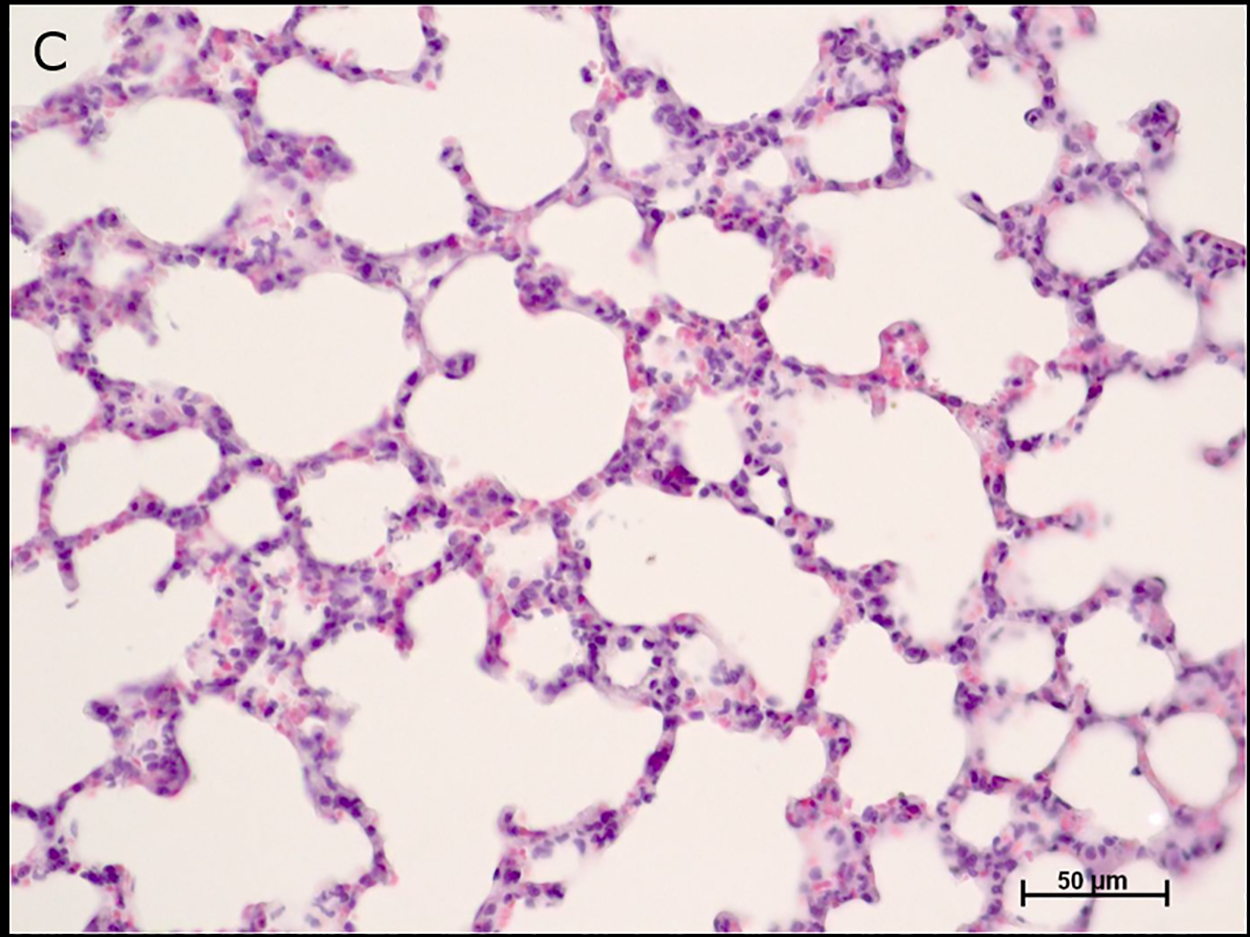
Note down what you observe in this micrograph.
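Lung parenchyma: numerous alveoli and larger alveolar air spaces outlined by thin alveolar septa. The air spaces are empty and pale, rounded to irregular, and vary considerably in size, some opening into one another. The septa are delicate, one to a few cells thick, with many small, dark purple, round to oval nuclei strung along them. Pink-red red blood cells lie within the septal walls. Where several septa meet, the tissue forms thicker, more cellular knots. Septal ends project freely into some air spaces. Cytoplasm is scant and pale pink. No exudate is seen within the air spaces.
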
